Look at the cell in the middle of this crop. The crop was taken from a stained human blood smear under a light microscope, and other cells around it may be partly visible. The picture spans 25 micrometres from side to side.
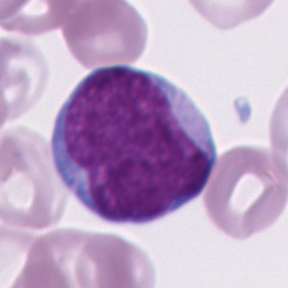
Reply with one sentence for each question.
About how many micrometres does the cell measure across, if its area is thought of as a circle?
The diameter of the cell comes to about 14 micrometres.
